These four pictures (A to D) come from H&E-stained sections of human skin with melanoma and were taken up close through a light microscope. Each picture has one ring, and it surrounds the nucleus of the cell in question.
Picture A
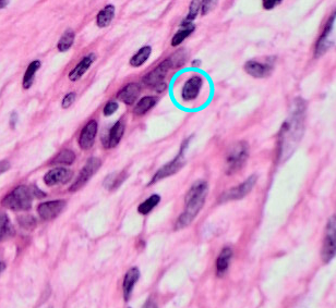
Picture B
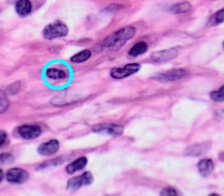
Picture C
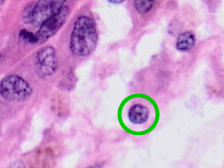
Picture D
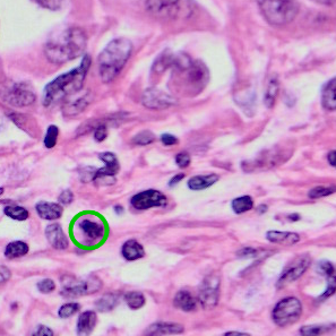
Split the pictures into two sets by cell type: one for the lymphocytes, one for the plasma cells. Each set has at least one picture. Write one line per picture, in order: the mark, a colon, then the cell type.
A: lymphocyte
B: plasma cell
C: lymphocyte
D: plasma cell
